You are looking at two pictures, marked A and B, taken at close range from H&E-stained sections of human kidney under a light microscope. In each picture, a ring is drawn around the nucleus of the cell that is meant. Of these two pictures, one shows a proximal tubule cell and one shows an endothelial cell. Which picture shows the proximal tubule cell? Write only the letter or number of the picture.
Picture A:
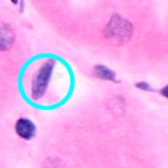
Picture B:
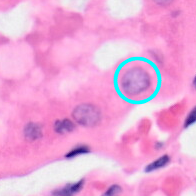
B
